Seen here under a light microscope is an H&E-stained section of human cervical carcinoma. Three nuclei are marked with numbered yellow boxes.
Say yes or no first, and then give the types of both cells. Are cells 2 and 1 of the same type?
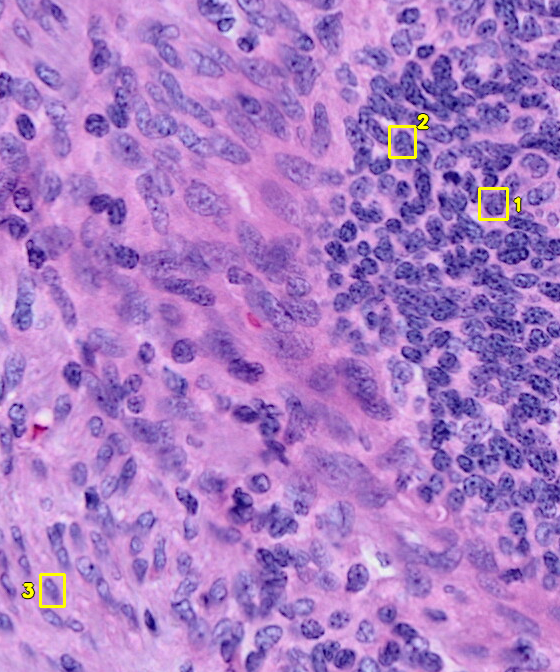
Yes, cell 2 and cell 1 are both squamous carcinoma cells.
